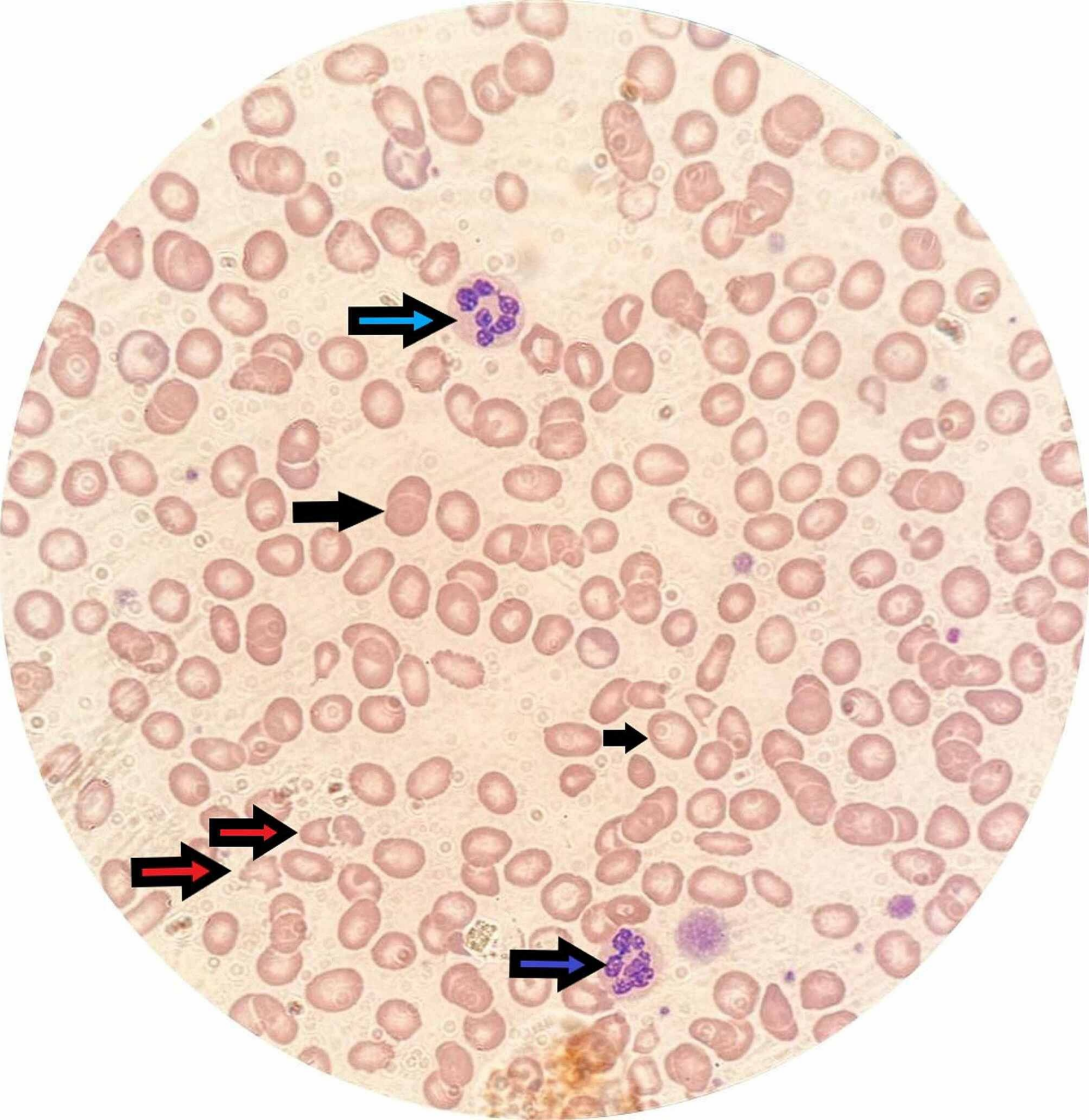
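A blood smear shows a crowded field of pink red cells of uneven size and shape, many of them large and oval, some overlapping. Scattered among them are small irregular fragments of red cells with jagged outlines. Two white cells stand out, each with a purple nucleus divided into many small lobes set in pale cytoplasm, and small purple platelets lie between the red cells.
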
